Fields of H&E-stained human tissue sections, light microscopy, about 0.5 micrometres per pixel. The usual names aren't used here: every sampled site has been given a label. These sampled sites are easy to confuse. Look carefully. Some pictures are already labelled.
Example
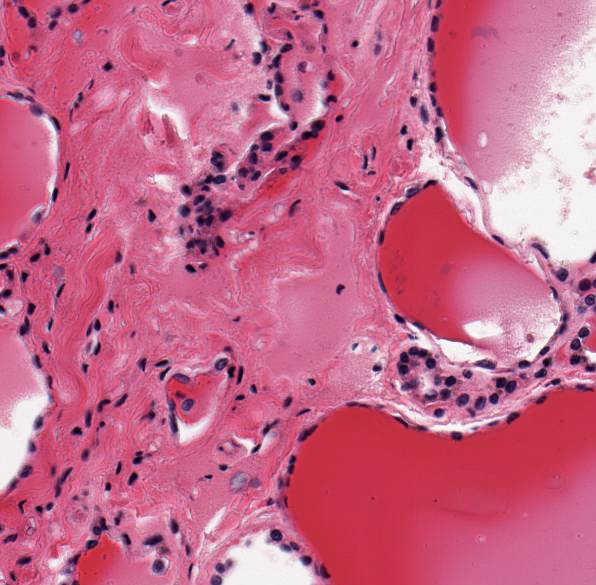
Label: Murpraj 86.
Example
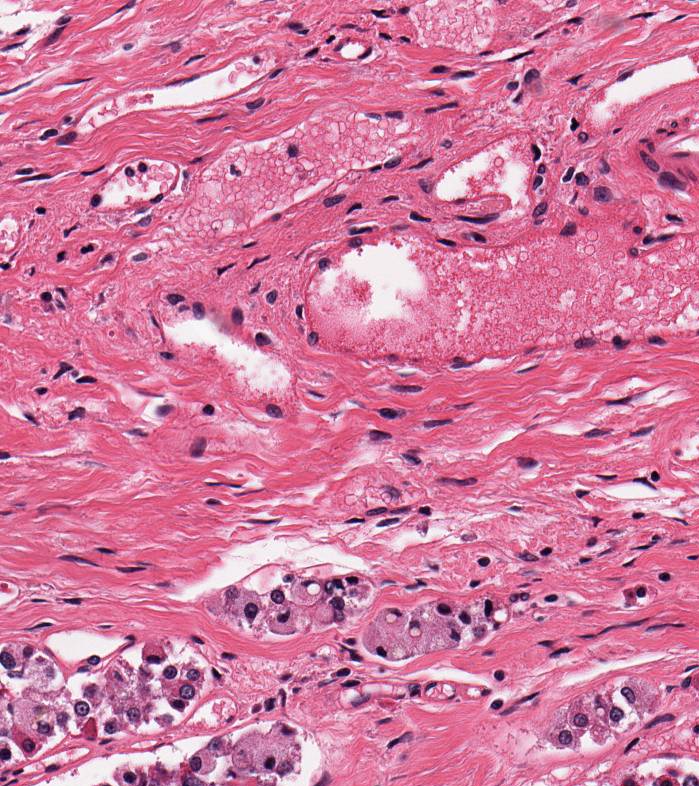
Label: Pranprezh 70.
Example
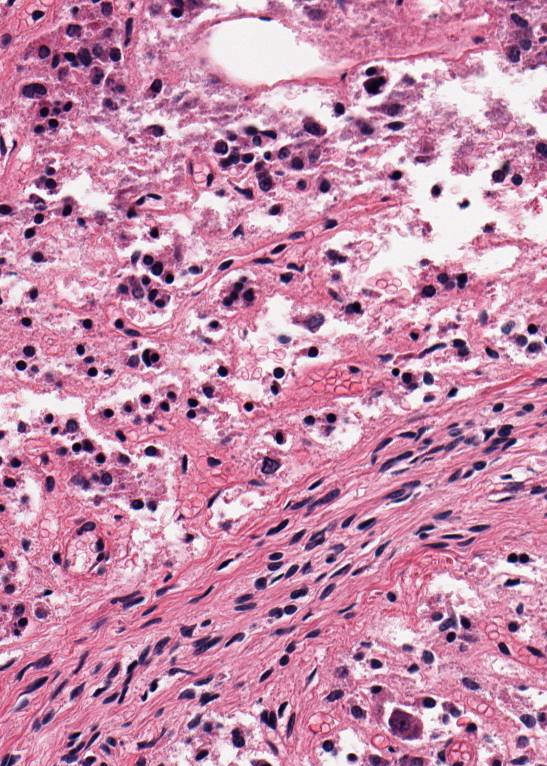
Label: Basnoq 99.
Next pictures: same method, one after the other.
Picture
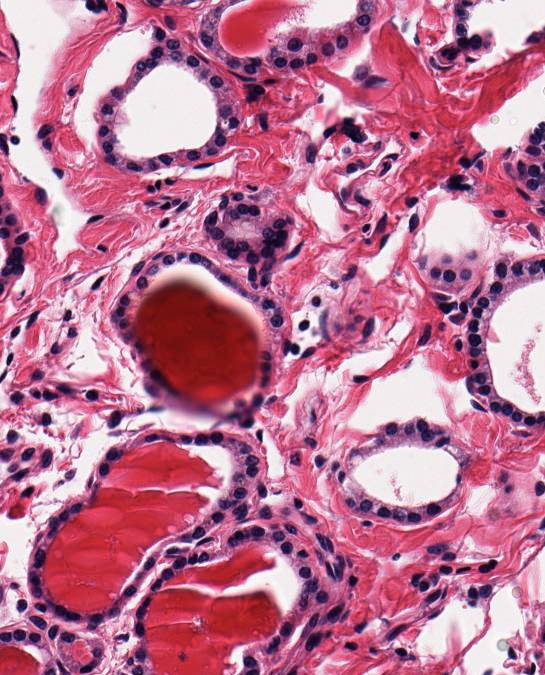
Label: Murpraj 86.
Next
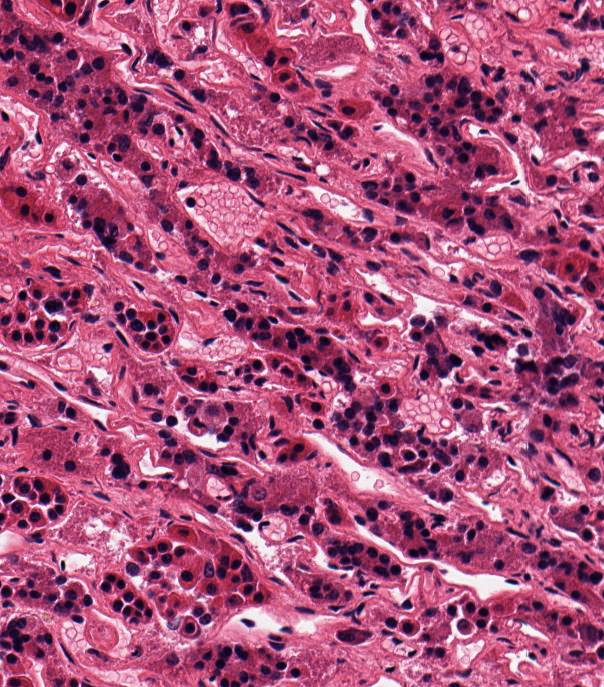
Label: Pranprezh 70.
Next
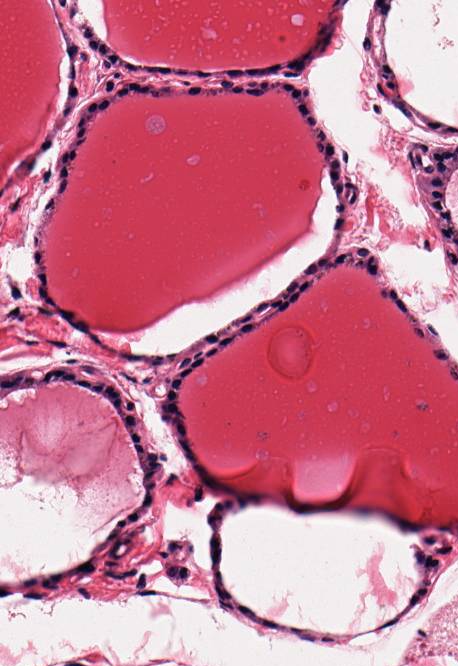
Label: Murpraj 86.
